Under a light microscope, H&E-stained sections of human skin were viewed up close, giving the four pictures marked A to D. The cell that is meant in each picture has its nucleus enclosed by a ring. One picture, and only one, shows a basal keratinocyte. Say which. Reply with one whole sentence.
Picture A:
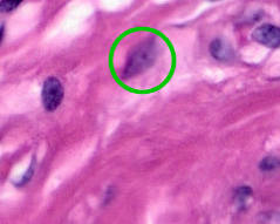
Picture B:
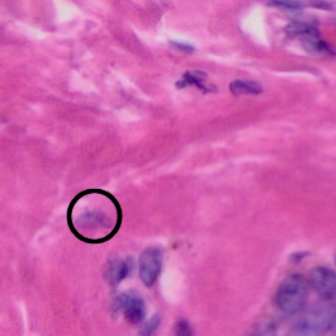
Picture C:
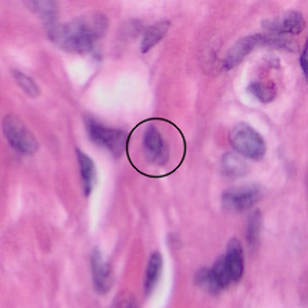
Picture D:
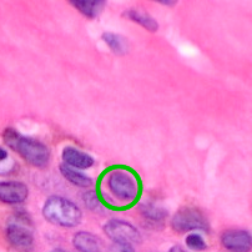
Picture D shows the basal keratinocyte.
